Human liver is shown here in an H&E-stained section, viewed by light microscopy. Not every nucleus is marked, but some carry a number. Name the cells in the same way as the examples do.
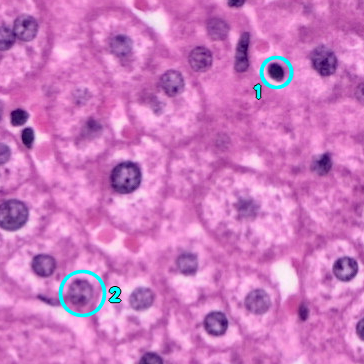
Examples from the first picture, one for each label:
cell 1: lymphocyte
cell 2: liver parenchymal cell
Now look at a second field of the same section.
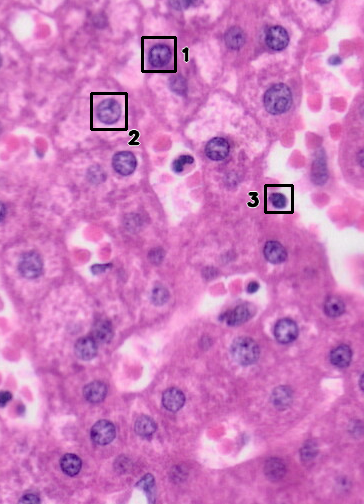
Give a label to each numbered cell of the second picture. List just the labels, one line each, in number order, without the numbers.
liver parenchymal cell
liver parenchymal cell
lymphocyte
